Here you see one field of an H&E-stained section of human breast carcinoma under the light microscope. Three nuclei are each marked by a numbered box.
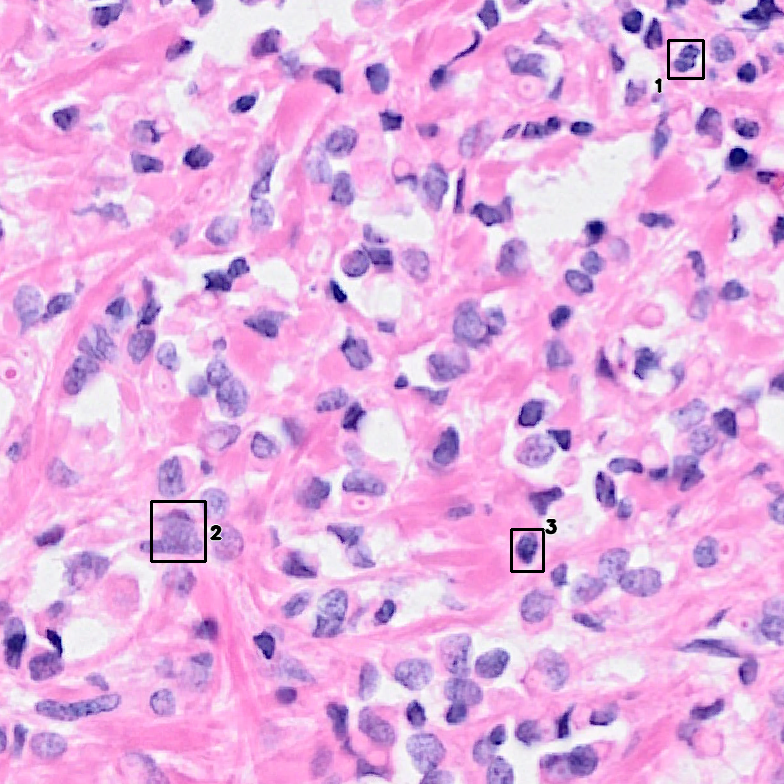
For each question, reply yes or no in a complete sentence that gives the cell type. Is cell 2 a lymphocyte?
No, the correct answer for cell 2 is a carcinoma cell, not a lymphocyte.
